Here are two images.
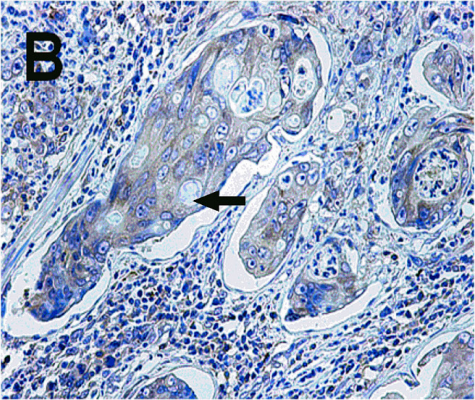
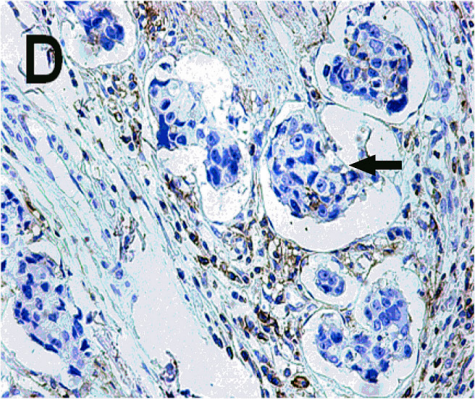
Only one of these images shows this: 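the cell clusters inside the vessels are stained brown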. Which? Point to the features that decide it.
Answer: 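First image: the large cell cluster within the space has brownish cytoplasm.
Conclusion: the first image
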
